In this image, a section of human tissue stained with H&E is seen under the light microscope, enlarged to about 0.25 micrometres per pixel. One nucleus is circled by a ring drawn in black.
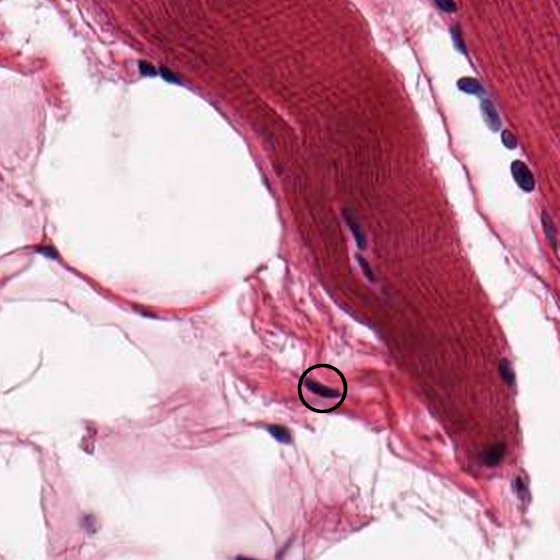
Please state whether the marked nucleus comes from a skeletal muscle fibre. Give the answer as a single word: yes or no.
no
